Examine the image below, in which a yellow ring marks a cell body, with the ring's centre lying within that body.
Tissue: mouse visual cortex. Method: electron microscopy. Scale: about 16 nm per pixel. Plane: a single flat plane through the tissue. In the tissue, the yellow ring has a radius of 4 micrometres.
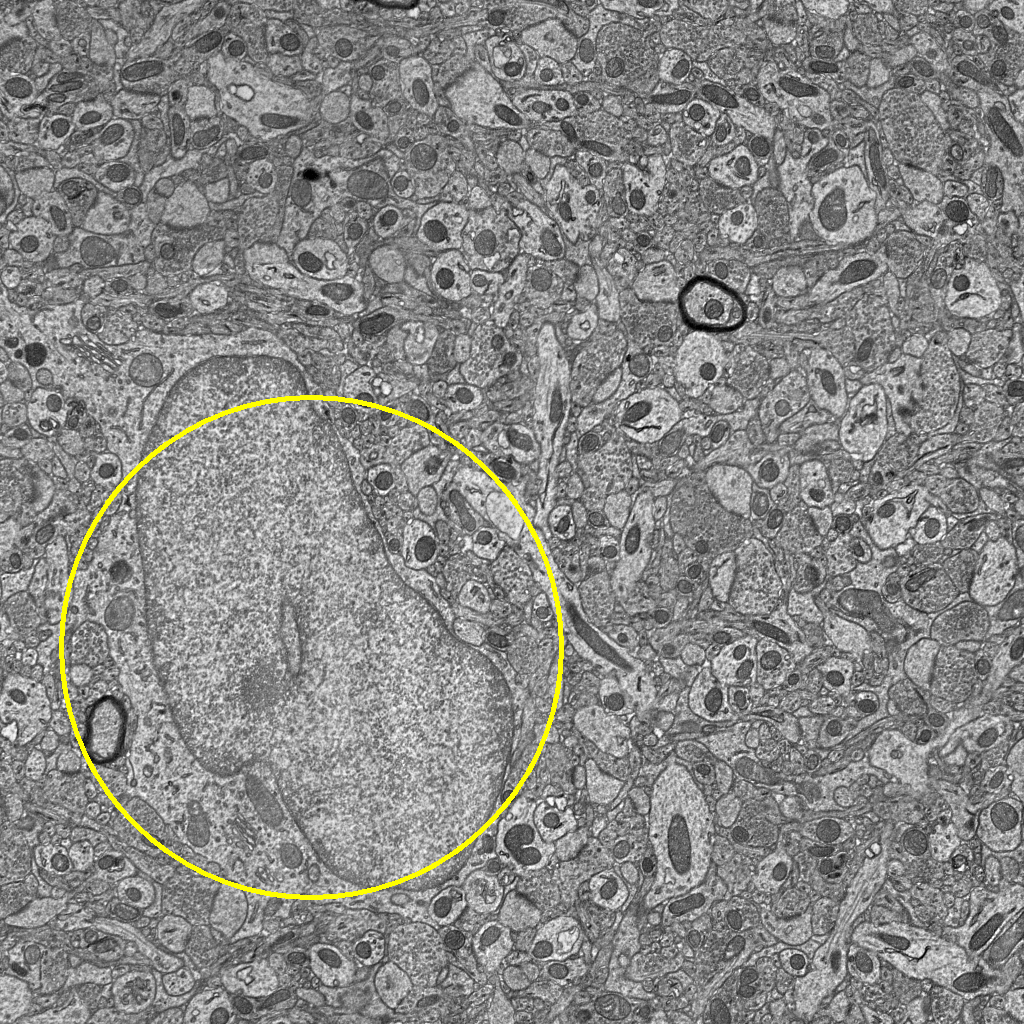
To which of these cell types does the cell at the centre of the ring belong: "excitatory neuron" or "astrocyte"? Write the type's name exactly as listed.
astrocyte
